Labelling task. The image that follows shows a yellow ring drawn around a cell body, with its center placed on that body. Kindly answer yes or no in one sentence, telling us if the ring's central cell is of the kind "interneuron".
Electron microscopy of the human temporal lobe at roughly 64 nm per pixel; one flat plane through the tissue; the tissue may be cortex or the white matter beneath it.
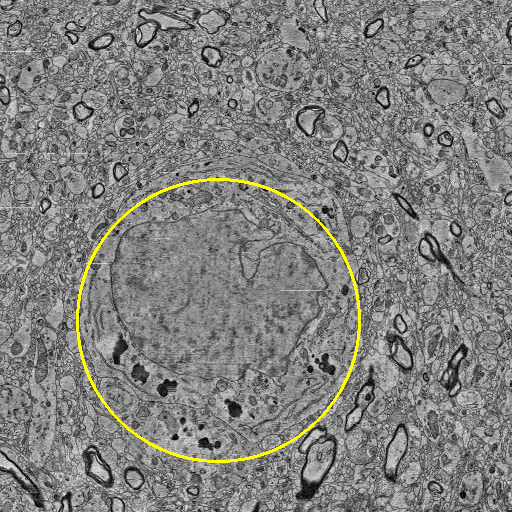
Yes, in this image the cell at the ring's center is of that kind.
